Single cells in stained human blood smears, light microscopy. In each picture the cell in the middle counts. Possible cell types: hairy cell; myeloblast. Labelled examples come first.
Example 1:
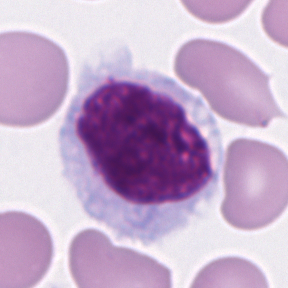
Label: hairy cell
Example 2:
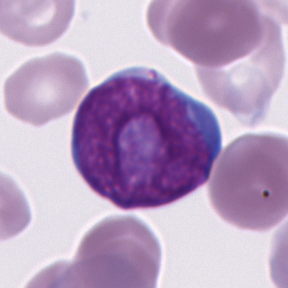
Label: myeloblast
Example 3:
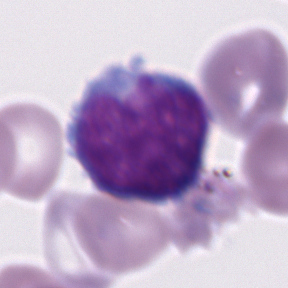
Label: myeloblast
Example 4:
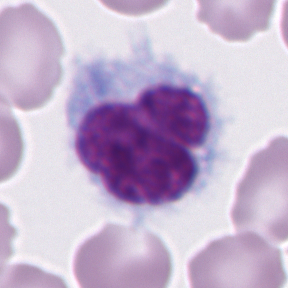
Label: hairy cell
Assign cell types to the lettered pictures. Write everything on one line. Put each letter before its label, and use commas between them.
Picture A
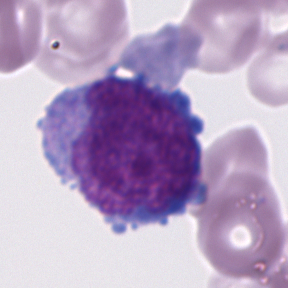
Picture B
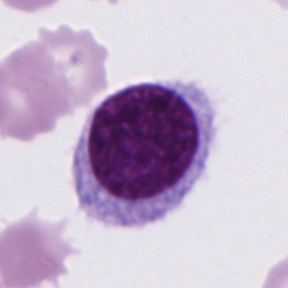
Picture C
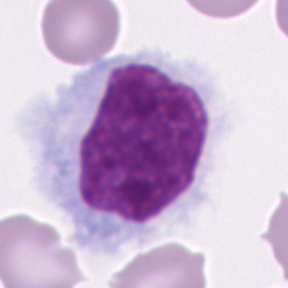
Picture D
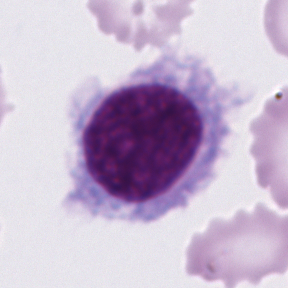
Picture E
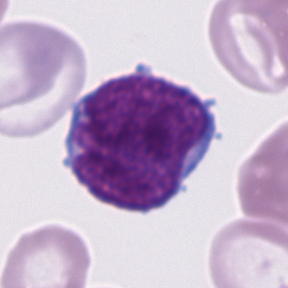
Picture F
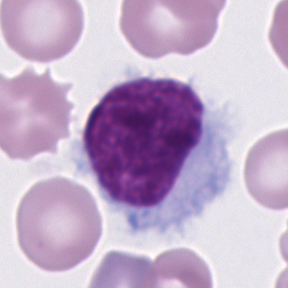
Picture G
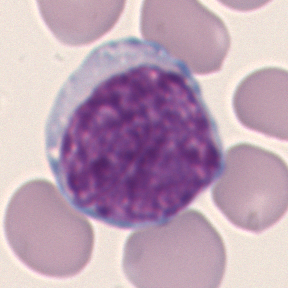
A myeloblast, B hairy cell, C hairy cell, D hairy cell, E myeloblast, F hairy cell, G myeloblast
